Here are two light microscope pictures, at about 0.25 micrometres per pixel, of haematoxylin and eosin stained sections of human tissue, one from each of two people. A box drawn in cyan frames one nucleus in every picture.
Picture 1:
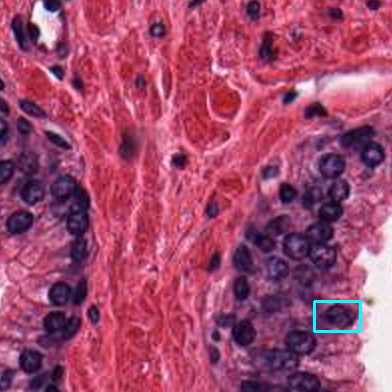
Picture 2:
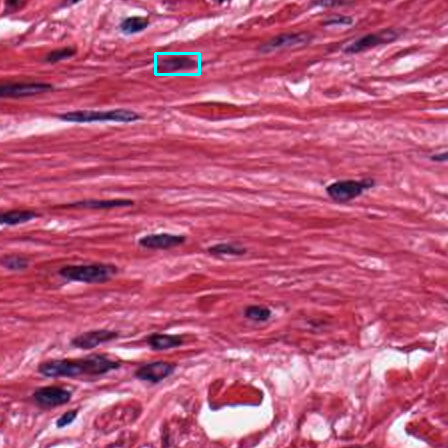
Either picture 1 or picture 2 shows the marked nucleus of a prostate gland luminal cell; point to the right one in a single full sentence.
The marked nucleus in picture 1 is found within a prostate gland luminal cell.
